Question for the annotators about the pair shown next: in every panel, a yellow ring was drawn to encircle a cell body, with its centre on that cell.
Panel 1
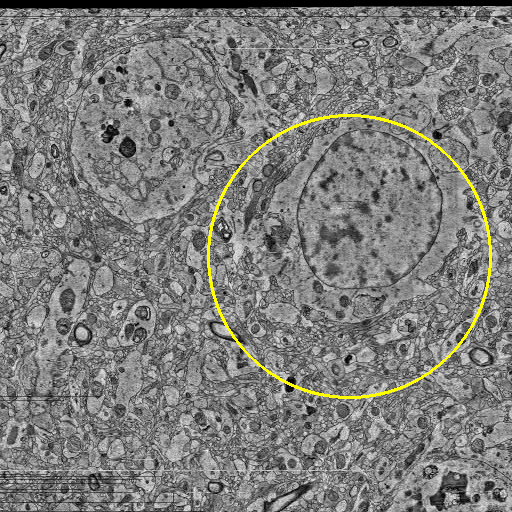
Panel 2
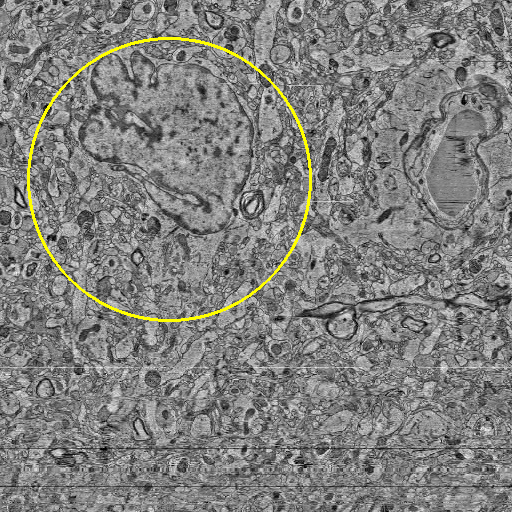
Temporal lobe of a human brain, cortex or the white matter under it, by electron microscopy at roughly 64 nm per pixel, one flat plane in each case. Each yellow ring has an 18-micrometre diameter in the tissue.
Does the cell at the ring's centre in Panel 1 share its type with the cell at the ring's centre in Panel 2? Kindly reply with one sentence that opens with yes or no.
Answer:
No, in Panels 1 and 2 the cells at the ring centres belong to separate types.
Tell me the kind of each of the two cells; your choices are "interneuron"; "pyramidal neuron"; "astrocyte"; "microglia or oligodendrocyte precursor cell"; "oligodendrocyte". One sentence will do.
The ringed cell is an astrocyte in the first picture and a microglial cell or oligodendrocyte precursor cell in the second picture.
